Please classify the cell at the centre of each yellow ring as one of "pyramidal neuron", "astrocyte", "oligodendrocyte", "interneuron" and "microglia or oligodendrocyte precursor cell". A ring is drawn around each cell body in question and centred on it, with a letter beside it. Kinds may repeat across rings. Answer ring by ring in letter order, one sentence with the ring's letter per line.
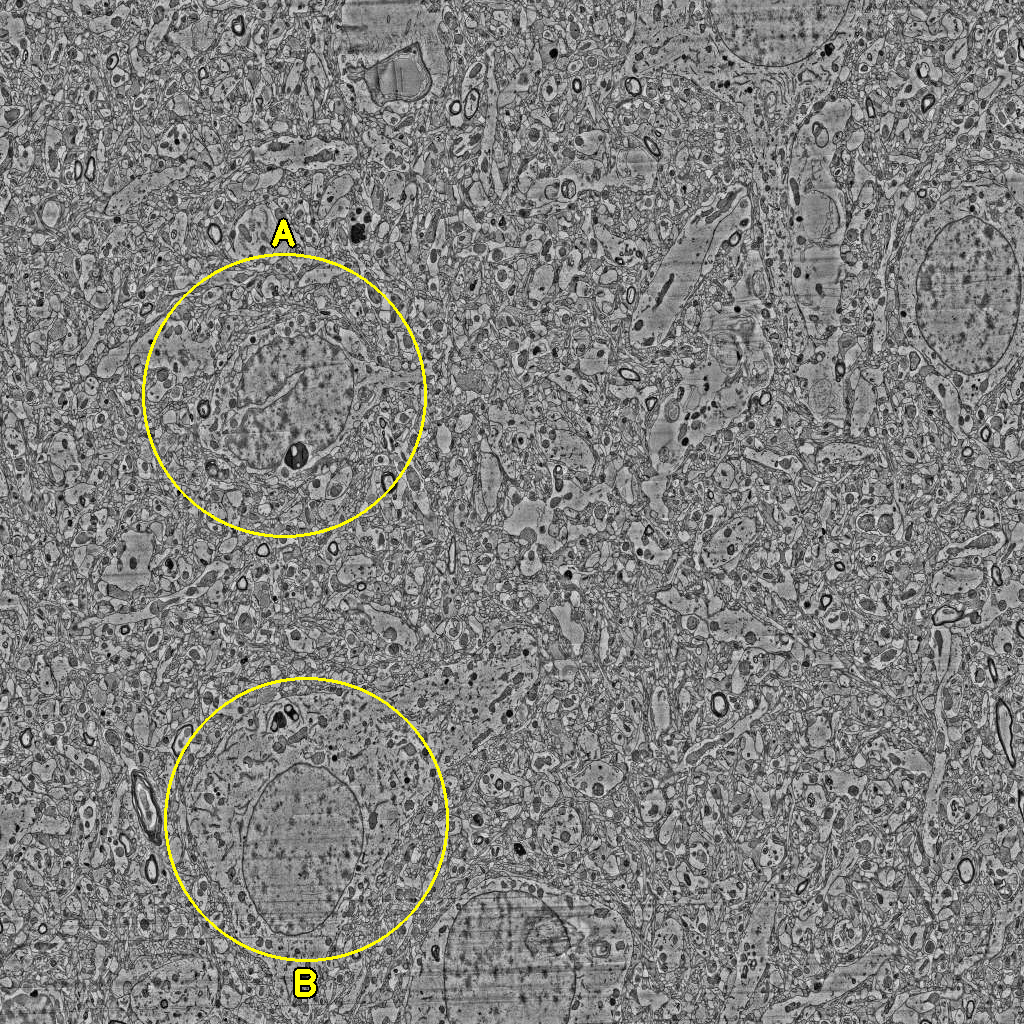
The cell at the heart of ring A is an interneuron.
The cell at the heart of ring B is a pyramidal neuron.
